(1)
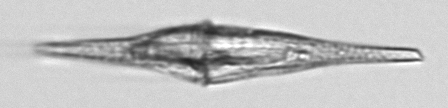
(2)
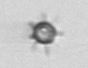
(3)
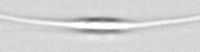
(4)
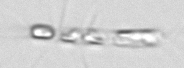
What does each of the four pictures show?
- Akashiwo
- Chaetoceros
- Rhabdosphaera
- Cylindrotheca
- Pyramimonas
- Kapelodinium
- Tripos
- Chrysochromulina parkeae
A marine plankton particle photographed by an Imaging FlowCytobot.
1. Tripos
2. Rhabdosphaera
3. Cylindrotheca
4. Chaetoceros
